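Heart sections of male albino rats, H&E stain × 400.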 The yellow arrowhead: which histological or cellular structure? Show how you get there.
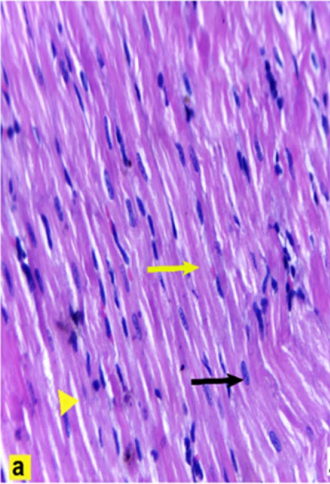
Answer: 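Interstices. The arrowhead points to a pale narrow gap between fibres.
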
